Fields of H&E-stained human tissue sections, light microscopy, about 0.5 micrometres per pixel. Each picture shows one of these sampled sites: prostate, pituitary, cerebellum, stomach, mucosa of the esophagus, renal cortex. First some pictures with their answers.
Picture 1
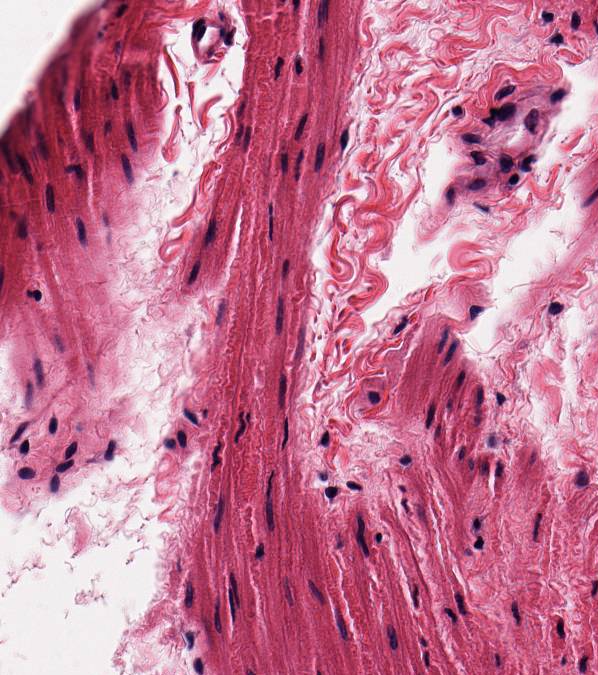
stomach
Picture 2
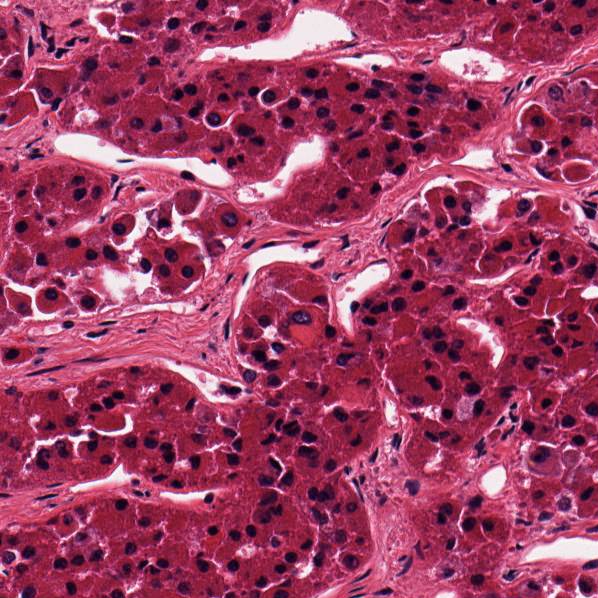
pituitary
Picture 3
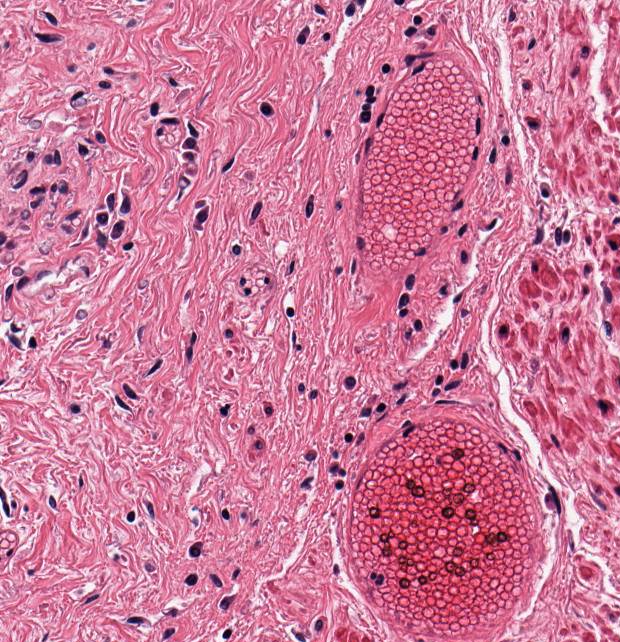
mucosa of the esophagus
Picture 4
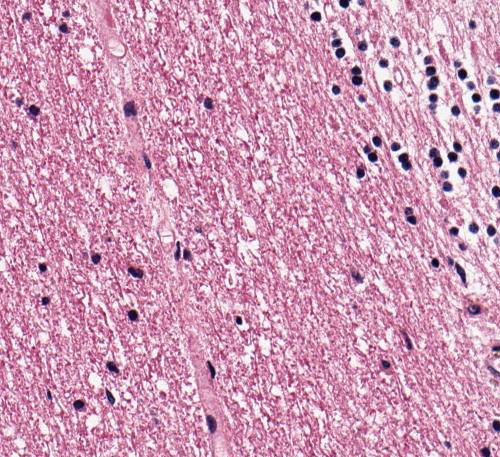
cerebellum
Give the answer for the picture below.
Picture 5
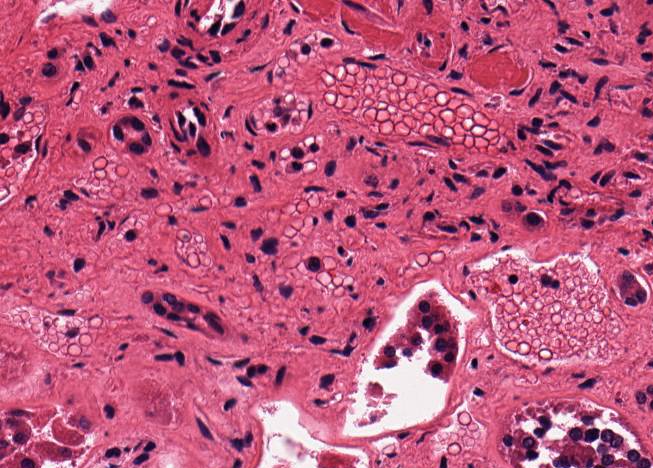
renal cortex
